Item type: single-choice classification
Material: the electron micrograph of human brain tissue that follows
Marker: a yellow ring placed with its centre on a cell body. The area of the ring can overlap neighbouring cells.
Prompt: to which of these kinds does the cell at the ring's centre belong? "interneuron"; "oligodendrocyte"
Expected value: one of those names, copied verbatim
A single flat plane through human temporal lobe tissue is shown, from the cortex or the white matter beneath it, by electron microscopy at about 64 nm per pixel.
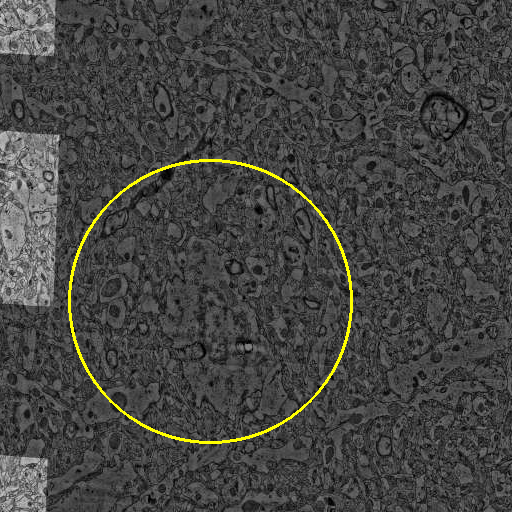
interneuron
